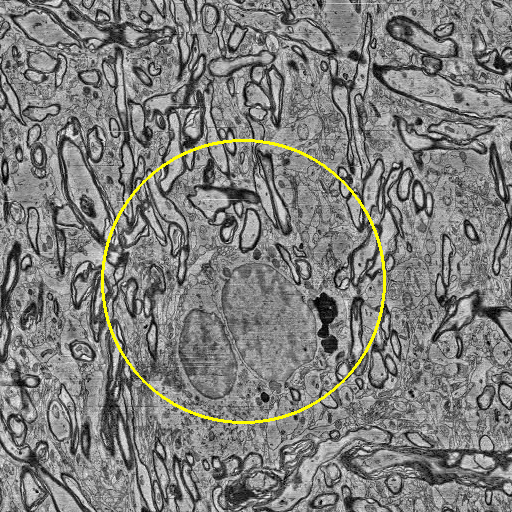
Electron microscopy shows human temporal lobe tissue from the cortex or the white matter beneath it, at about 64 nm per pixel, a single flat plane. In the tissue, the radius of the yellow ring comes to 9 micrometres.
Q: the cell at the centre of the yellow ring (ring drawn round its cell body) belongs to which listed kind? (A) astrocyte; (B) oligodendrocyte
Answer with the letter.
B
